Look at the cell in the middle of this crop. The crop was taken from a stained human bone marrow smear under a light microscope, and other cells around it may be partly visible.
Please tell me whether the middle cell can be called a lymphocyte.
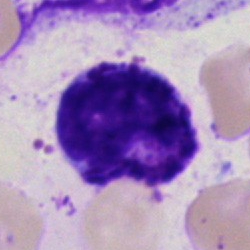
no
